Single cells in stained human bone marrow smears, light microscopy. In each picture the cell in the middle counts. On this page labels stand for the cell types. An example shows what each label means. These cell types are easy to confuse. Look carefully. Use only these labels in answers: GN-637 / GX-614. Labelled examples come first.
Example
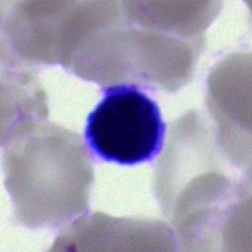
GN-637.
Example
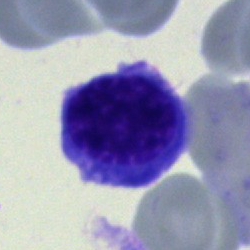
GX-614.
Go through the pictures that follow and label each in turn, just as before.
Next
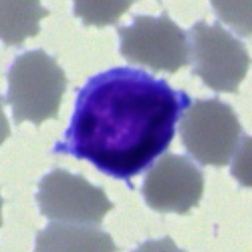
GN-637.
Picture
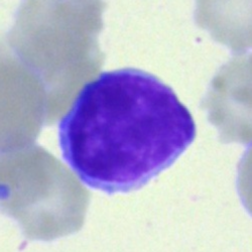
GN-637.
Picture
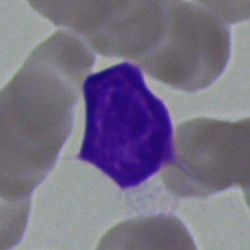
GN-637.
